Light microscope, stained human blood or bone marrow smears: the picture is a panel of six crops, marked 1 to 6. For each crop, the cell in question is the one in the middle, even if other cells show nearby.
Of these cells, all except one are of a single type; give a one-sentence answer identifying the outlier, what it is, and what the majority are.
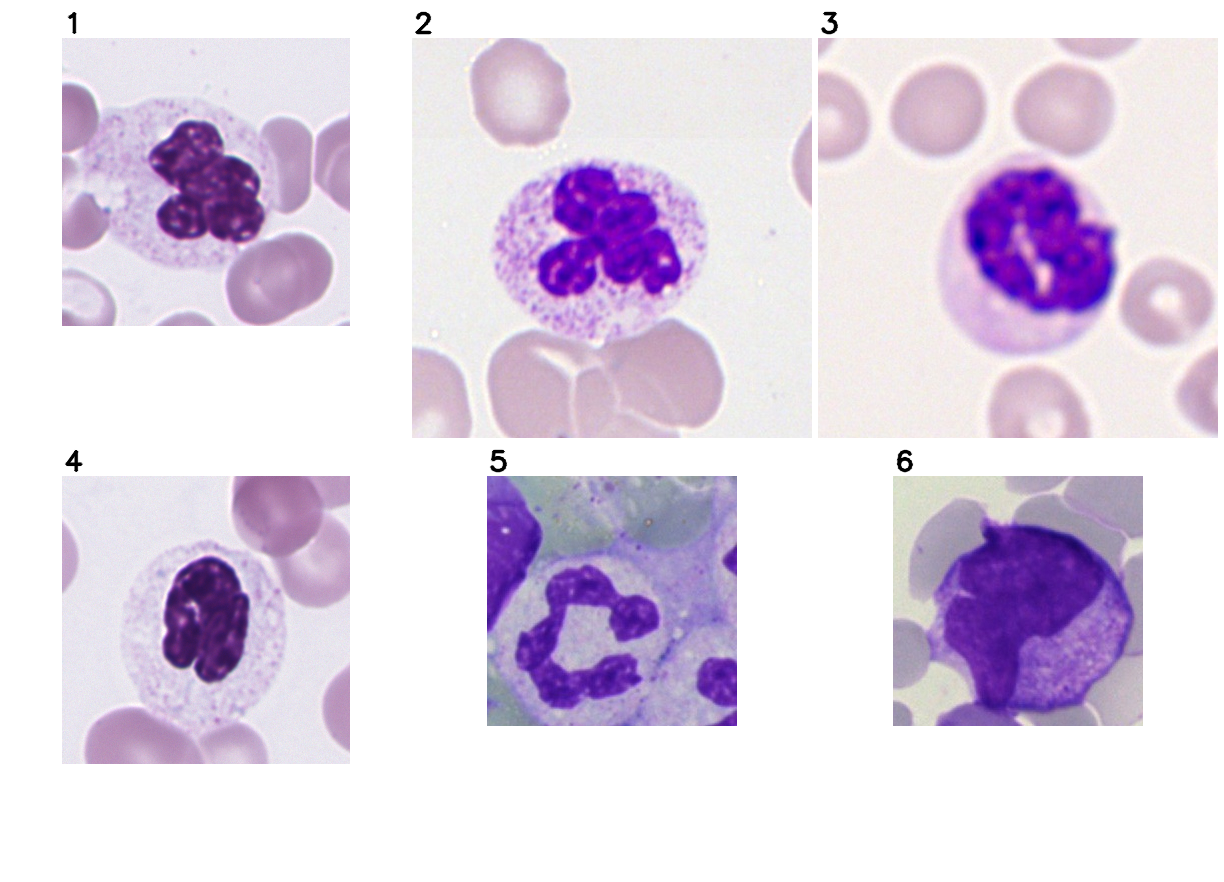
Excluding crop 6, which is a monocyte, the crops all show segmented neutrophils.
